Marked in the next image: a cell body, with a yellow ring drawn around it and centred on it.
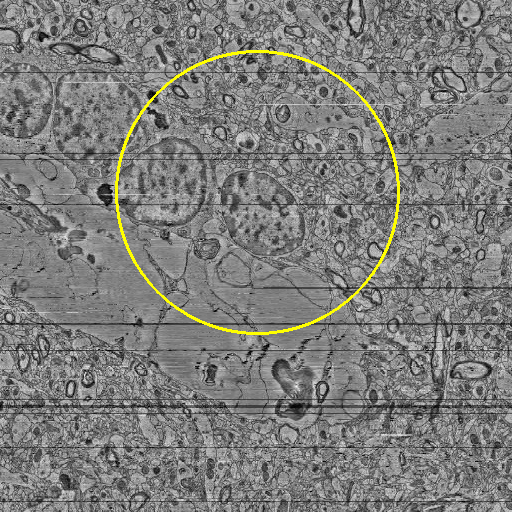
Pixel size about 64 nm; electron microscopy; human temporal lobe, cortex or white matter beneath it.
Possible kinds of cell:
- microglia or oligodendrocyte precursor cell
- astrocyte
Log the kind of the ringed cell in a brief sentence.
The ringed cell body is that of a microglial cell or oligodendrocyte precursor cell.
